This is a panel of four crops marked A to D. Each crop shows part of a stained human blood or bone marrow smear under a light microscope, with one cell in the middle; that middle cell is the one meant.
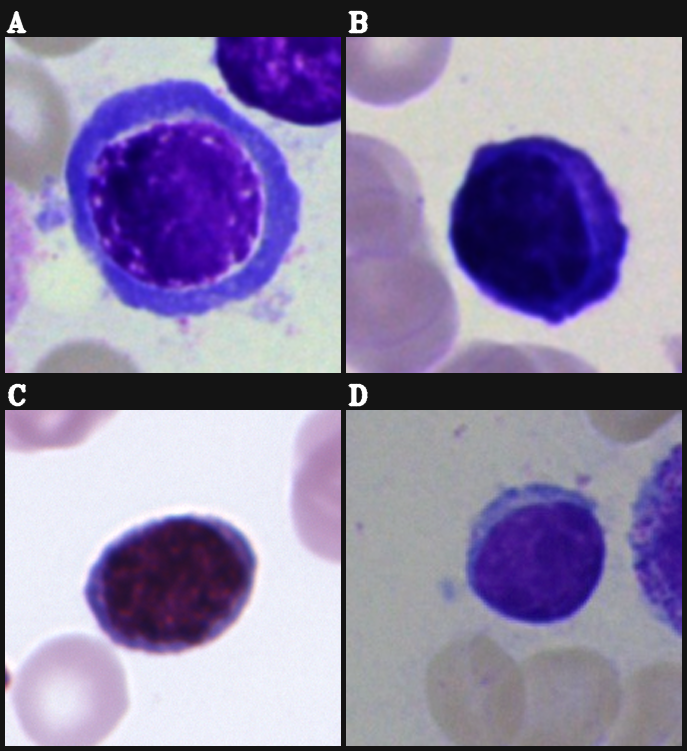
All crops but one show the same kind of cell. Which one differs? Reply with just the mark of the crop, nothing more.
A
